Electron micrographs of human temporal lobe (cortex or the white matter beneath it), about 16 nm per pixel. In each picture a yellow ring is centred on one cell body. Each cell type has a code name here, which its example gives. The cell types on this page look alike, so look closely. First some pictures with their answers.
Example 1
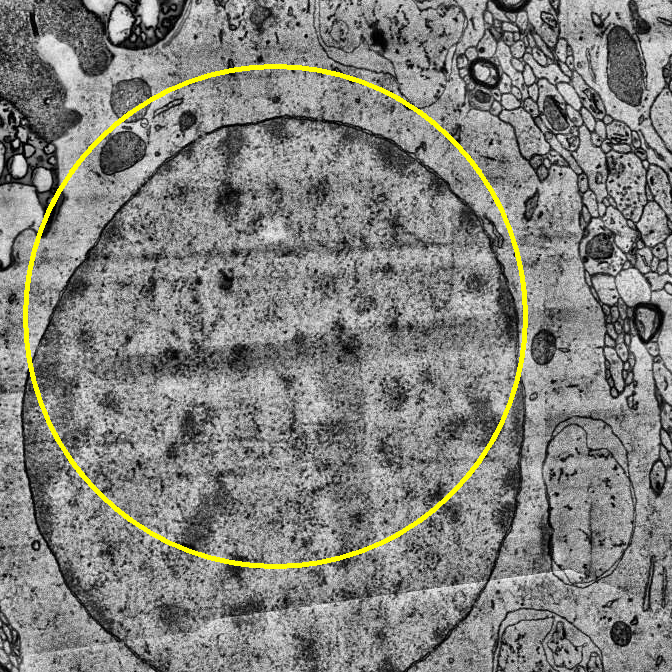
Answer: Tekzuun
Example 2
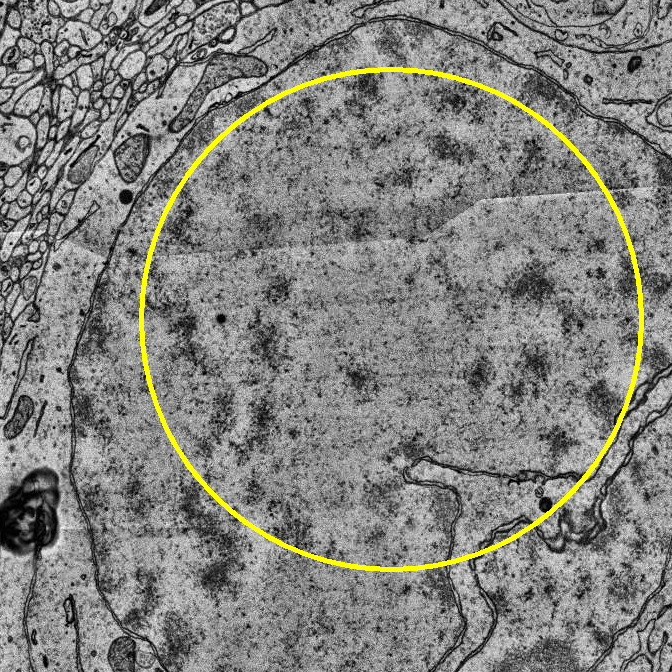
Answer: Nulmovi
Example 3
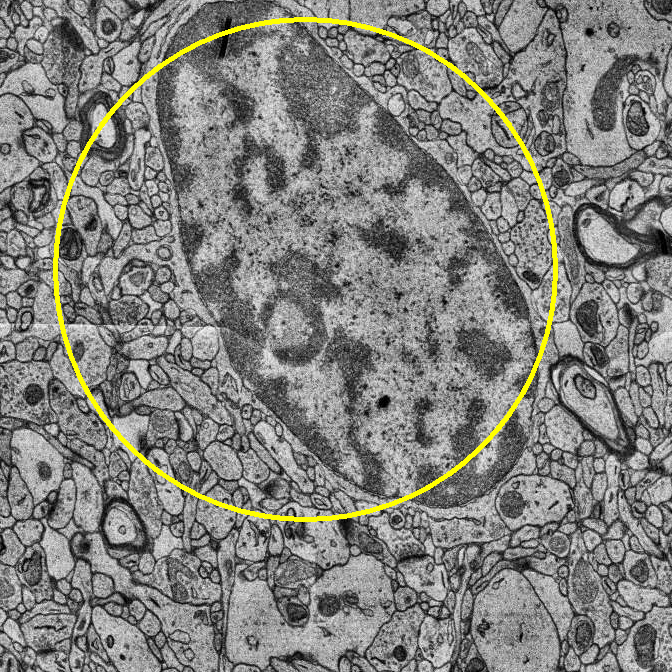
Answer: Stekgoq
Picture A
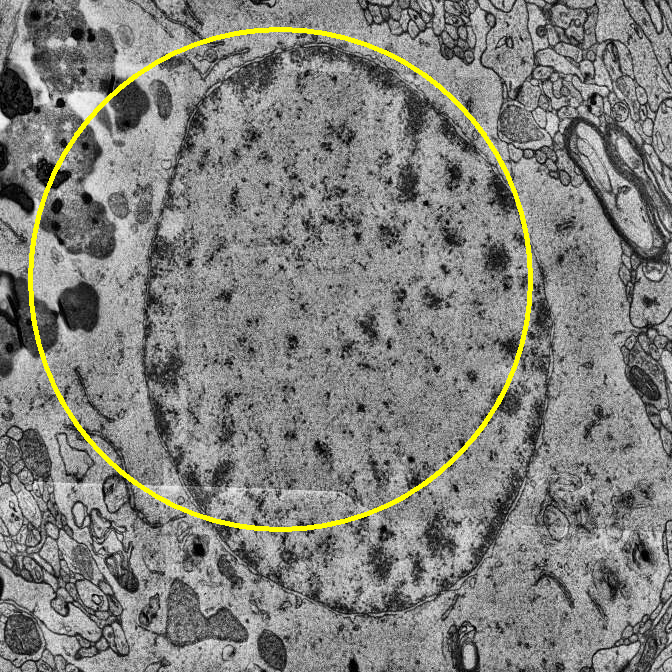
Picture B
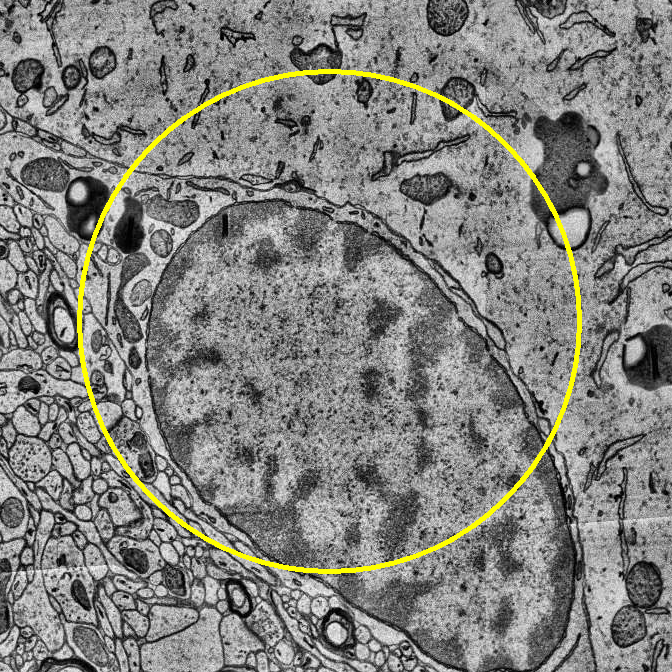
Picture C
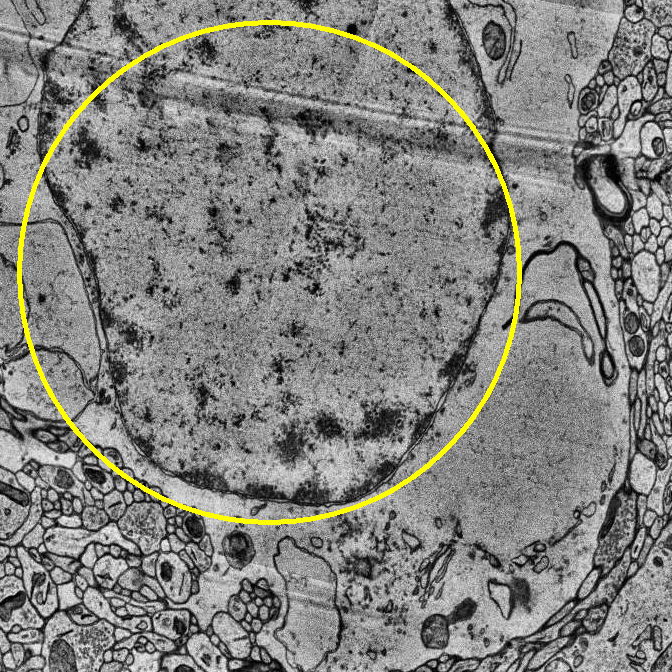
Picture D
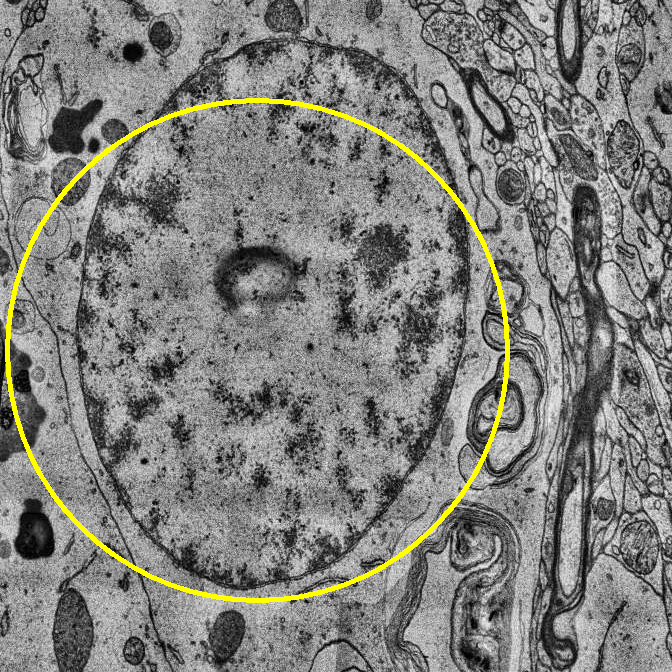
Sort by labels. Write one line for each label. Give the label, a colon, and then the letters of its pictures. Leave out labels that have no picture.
Tekzuun: A, C, D
Stekgoq: B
